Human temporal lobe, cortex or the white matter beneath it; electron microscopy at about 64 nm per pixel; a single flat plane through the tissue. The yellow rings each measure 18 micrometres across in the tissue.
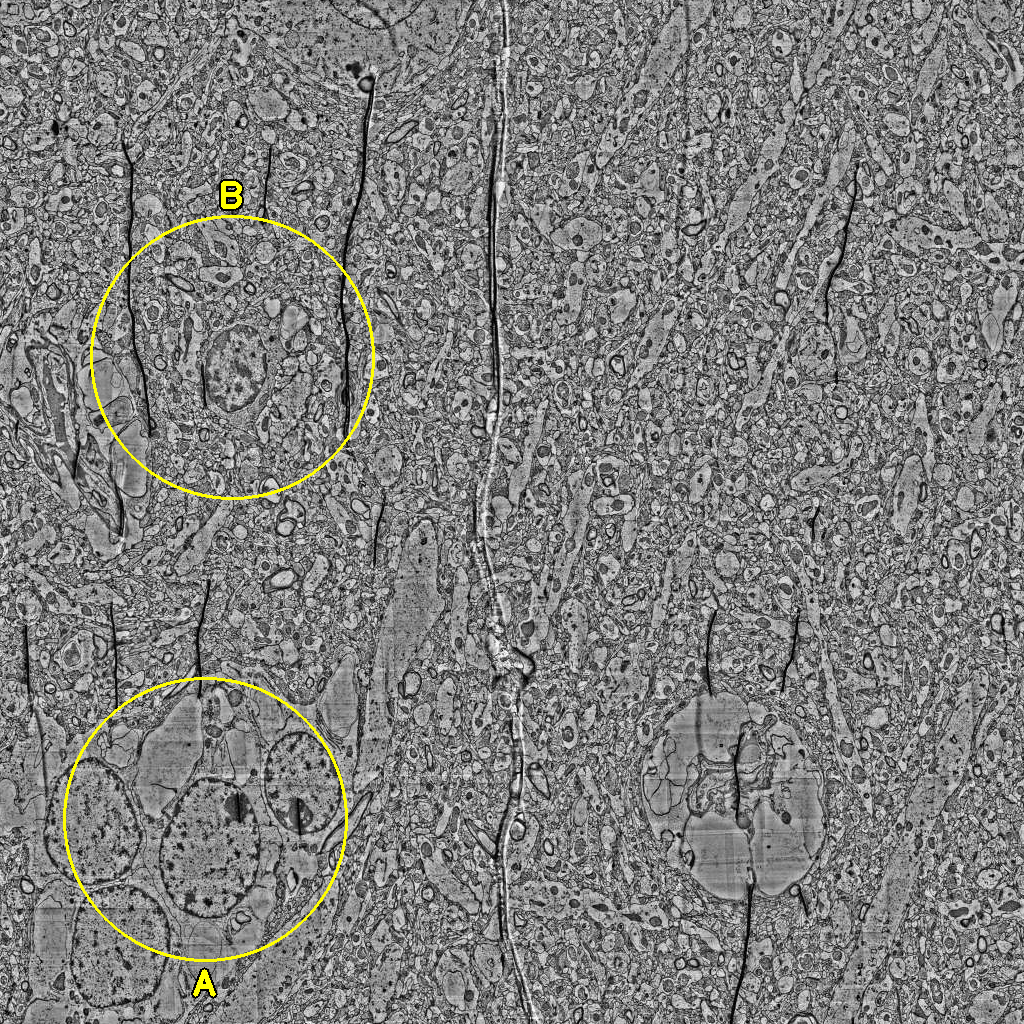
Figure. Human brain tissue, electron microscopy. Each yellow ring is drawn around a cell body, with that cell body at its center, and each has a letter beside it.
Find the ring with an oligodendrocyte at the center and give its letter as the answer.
B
